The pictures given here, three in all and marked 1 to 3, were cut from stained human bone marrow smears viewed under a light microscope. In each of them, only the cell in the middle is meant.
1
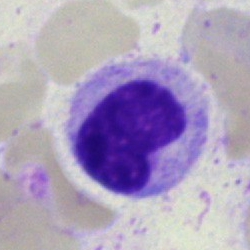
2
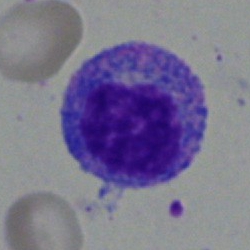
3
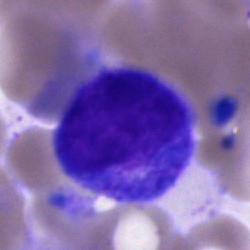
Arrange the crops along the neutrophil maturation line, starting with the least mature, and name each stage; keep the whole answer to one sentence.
The series, from least to most mature, is crop 3 (a promyelocyte), crop 2 (a myelocyte) and crop 1 (a metamyelocyte).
